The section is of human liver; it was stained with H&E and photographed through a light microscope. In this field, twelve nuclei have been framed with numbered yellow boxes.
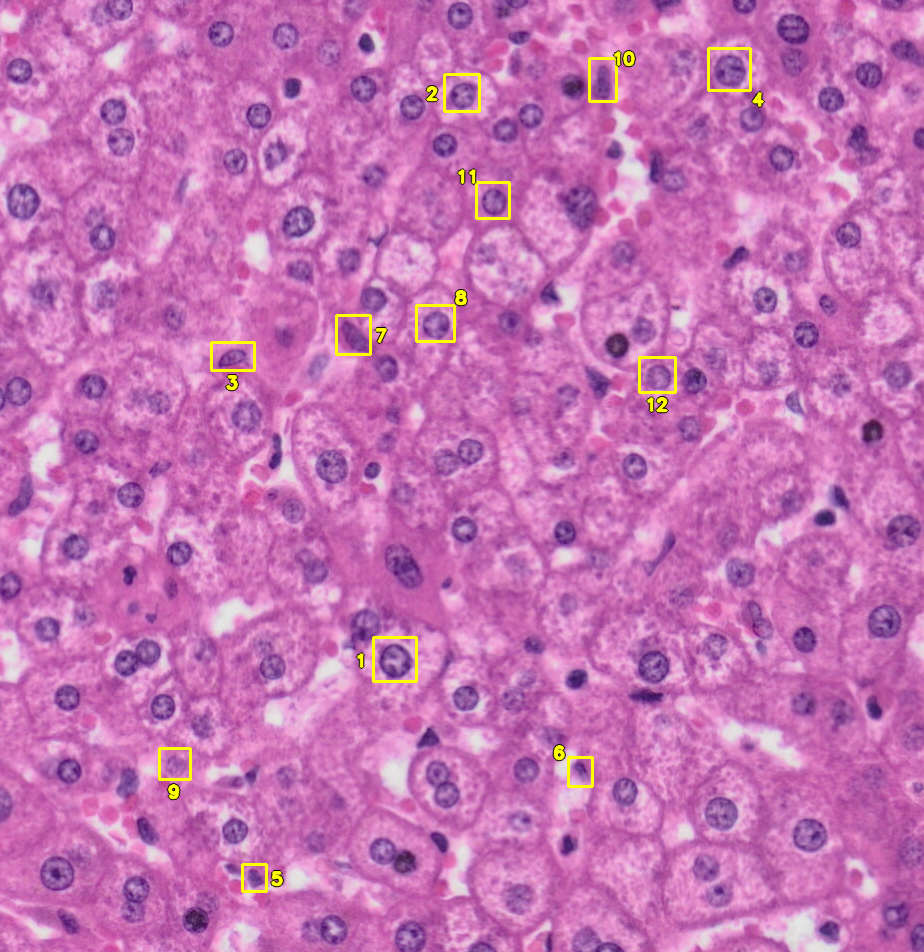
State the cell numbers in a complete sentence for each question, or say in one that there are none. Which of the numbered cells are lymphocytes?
Of the marked cells, the one numbered 5 is a lymphocyte and the rest are not.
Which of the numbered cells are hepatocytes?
The cells that have been numbered 1, 2, 4, 8, 9, 11 and 12 are hepatocytes.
